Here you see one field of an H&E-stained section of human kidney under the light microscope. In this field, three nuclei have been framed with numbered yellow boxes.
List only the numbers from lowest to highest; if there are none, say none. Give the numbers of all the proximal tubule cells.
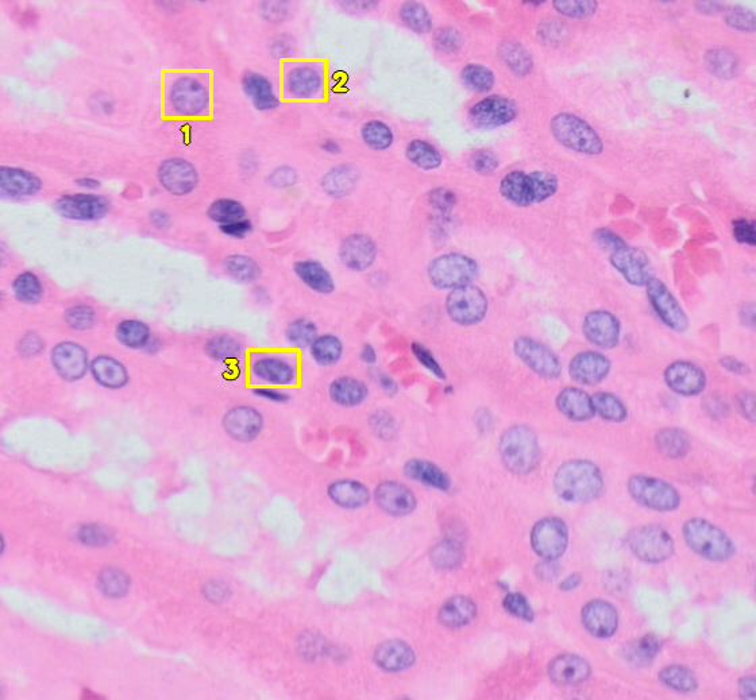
1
